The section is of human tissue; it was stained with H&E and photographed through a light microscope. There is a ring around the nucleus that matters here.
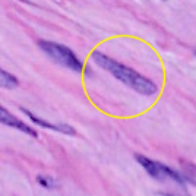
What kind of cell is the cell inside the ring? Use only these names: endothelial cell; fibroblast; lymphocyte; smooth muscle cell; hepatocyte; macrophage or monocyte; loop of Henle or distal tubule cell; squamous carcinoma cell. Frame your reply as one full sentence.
So far as cell type goes, the cell inside the ring is a smooth muscle cell.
